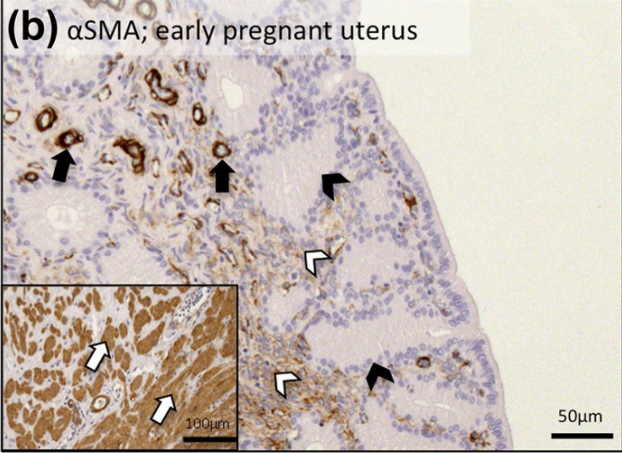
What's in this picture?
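A section of uterine wall showing blood vessels, uterine glands and stromal cells, with an inset of myometrial smooth muscle. The luminal surface at the right is lined by a single layer of columnar epithelium. Beneath it, gland tubules lined by columnar cells with blue nuclei are unstained. Between them, spindle-shaped stromal cells are loosely arranged and many are brown. Toward the left, small vessels appear as round profiles with complete brown-stained walls. In the inset, dense bundles of strongly brown smooth muscle cells, cut across and lengthwise, are separated by thin pale connective tissue containing a small vessel.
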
